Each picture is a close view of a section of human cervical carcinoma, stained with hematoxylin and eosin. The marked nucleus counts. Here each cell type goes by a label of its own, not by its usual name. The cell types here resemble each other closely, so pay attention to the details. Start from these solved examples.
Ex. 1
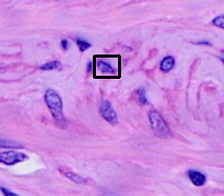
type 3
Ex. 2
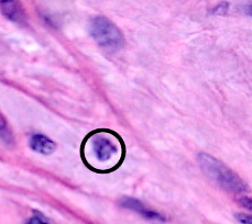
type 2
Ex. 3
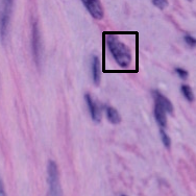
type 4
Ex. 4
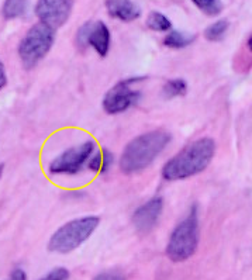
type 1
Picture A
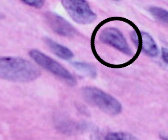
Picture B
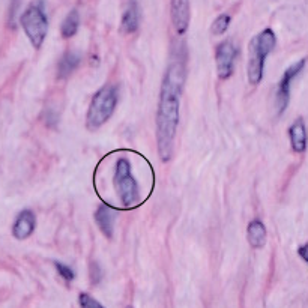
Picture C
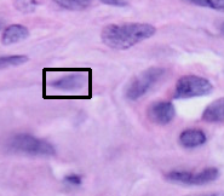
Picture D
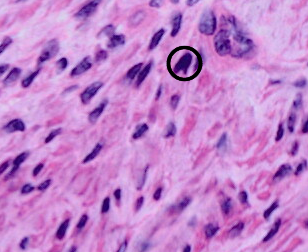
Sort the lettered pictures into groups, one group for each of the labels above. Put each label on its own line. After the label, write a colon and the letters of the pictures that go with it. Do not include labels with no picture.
type 3: B
type 2: D
type 4: A
type 1: C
